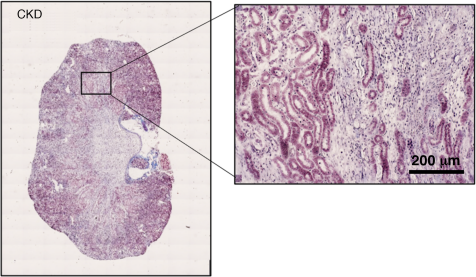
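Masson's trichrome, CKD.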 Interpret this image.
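Kidney section, seen whole and enlarged, in which the tubules lie far apart. In the enlarged field, scattered and partly dilated tubules with red-purple epithelium lie within a broad, pale, bluish-tinged interstitium crowded with small dark nuclei.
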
